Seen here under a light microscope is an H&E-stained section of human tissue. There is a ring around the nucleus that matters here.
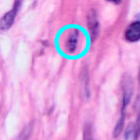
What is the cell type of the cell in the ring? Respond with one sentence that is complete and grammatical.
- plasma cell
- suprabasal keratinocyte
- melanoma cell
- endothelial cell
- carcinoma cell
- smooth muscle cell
In the stained section, the cell in the ring is a plasma cell.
